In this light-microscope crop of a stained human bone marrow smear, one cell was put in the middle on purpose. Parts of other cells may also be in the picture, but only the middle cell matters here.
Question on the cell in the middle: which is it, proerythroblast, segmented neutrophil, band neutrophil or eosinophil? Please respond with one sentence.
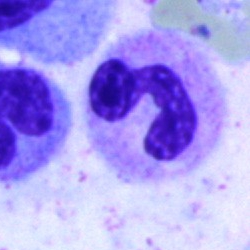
The centrally placed cell is classified as a segmented neutrophil.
